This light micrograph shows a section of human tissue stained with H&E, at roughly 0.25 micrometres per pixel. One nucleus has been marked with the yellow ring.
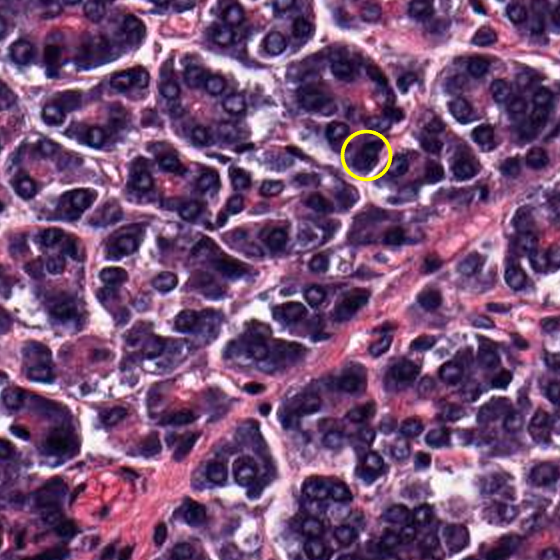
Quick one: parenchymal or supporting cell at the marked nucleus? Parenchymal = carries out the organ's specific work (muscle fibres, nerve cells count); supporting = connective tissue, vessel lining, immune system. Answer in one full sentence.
Here the marked nucleus belongs to a parenchymal cell, that is, a pancreatic acinar cell.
